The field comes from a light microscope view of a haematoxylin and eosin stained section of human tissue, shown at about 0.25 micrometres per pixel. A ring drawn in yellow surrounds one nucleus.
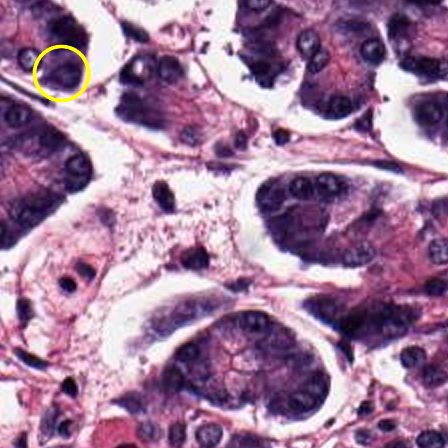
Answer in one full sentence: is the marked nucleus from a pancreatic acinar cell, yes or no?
Yes, a pancreatic acinar cell is the cell that the marked nucleus belongs to.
